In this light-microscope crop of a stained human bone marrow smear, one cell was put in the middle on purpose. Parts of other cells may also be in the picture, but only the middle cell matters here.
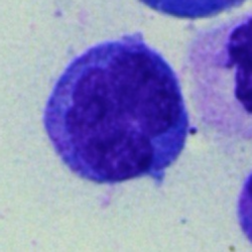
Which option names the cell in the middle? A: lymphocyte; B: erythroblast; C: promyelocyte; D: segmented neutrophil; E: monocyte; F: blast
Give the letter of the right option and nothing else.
E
